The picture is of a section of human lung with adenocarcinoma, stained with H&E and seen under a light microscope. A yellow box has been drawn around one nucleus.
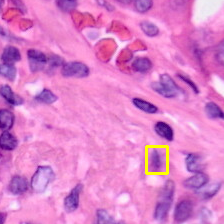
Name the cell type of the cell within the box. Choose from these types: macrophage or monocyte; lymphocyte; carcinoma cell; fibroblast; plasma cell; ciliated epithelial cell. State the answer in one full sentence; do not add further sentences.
It is as a plasma cell that the cell within the box is classified.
